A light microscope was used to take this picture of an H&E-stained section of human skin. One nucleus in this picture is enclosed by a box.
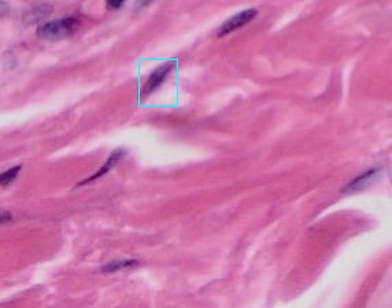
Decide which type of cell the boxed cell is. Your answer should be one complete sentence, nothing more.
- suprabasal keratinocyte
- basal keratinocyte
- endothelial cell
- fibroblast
It is as a fibroblast that the boxed cell is recorded.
